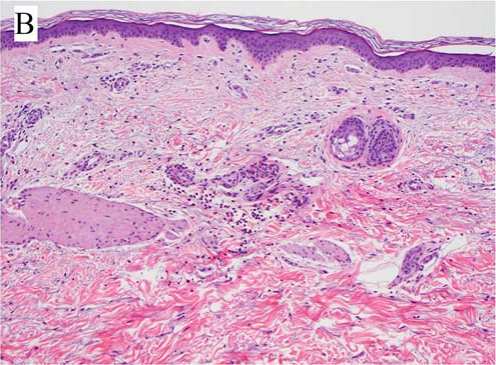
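This is skin with a thin epidermis along the top and a dermis of pink collagen below. In the dermis, small clusters of dark-staining nuclei gather around small blood vessels, and further scattered cells lie between the collagen bundles; the infiltrate is sparse overall. A bundle of pink smooth muscle lies on the left, and a round follicular structure lies in the upper right dermis.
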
